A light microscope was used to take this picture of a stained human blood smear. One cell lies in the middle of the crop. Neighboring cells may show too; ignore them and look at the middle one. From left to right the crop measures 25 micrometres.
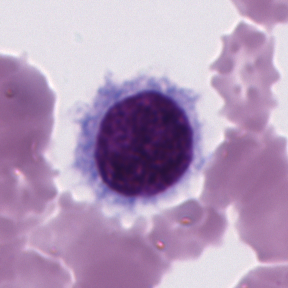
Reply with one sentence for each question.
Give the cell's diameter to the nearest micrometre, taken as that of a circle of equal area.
About 11 micrometres: that is the cell's diameter.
